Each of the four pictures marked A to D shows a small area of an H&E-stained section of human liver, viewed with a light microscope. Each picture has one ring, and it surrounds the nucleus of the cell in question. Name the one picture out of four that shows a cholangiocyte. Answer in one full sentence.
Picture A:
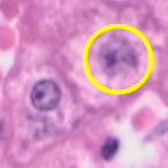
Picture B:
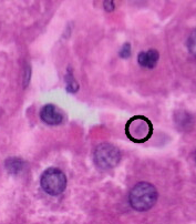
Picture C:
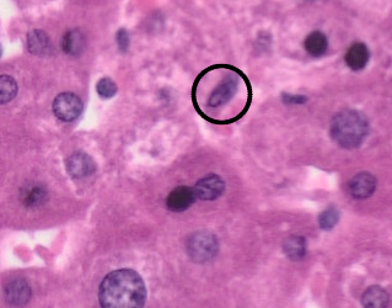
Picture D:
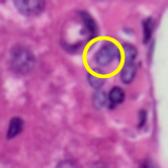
The cholangiocyte is the one in picture D.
